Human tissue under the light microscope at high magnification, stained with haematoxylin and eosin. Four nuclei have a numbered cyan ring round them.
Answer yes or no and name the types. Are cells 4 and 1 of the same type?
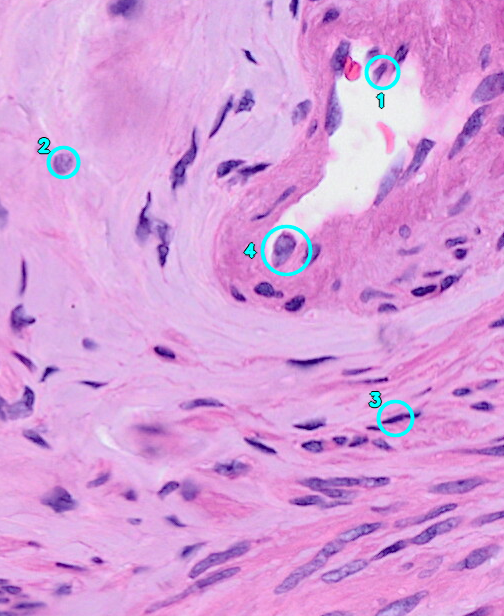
Yes, both are endothelial cells.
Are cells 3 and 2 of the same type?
No, cell 3 is a smooth muscle cell and cell 2 is a fibroblast.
